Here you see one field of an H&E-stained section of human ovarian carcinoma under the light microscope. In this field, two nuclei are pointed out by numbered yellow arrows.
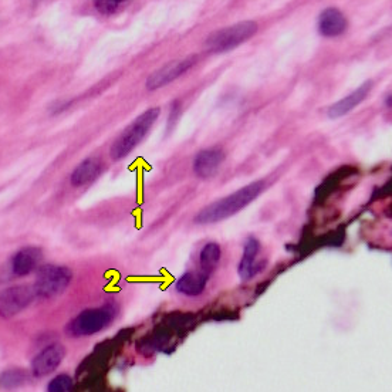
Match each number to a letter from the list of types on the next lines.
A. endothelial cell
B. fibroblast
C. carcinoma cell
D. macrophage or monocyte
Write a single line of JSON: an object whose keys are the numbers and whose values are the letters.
{"1": "B", "2": "D"}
